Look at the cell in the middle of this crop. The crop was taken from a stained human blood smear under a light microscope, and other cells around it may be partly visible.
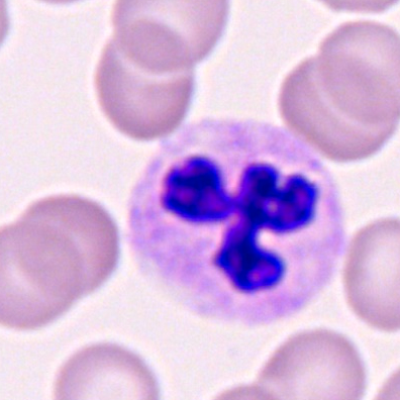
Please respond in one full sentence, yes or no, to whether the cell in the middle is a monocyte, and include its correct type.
No, rather than a monocyte, the central cell is a segmented neutrophil.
